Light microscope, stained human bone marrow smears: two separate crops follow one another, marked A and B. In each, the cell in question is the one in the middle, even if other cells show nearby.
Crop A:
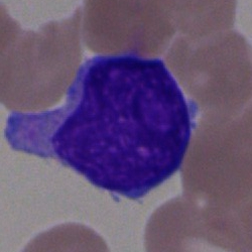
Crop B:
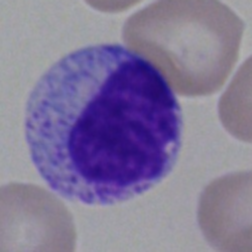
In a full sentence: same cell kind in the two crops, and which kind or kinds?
No, crop A carries a blast at its centre, and crop B carries a myelocyte.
